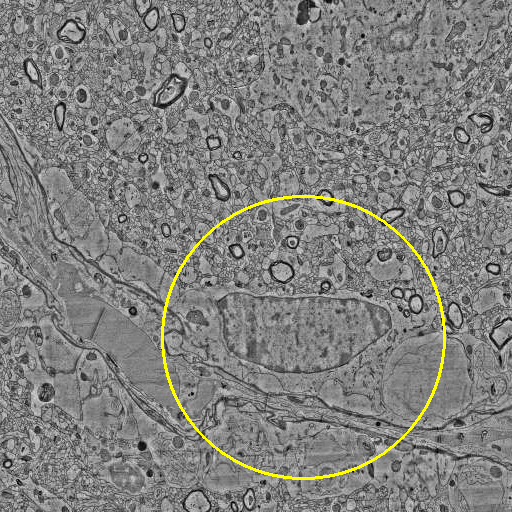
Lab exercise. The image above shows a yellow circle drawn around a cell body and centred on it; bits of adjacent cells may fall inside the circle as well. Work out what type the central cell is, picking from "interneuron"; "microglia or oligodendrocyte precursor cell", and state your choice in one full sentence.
In the image above, the cell at the centre of the yellow circle is a microglial cell or oligodendrocyte precursor cell.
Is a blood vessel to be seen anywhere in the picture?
Yes, there is a blood vessel.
